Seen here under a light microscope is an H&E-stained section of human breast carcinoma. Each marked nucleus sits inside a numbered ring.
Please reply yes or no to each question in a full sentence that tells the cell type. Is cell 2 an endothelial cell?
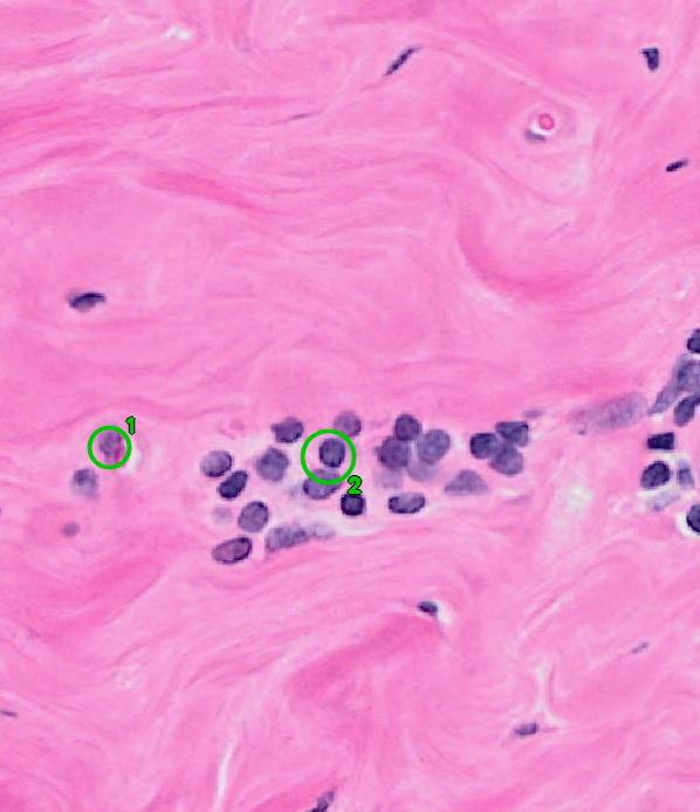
No, the correct answer for cell 2 is a lymphocyte, not an endothelial cell.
